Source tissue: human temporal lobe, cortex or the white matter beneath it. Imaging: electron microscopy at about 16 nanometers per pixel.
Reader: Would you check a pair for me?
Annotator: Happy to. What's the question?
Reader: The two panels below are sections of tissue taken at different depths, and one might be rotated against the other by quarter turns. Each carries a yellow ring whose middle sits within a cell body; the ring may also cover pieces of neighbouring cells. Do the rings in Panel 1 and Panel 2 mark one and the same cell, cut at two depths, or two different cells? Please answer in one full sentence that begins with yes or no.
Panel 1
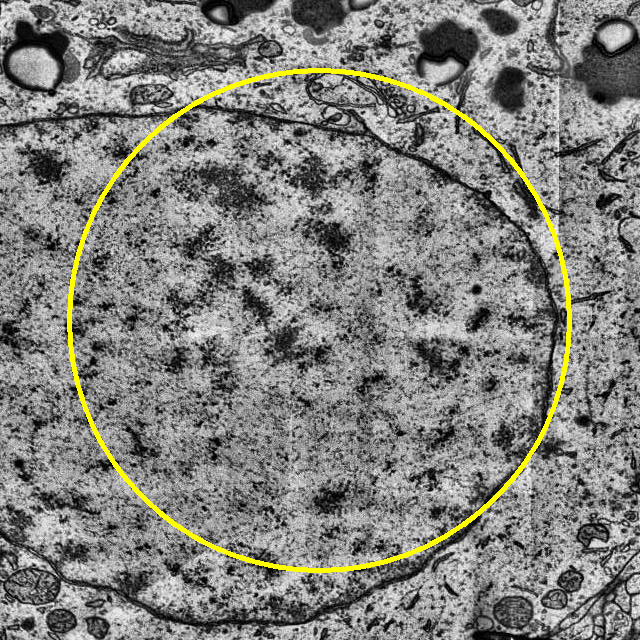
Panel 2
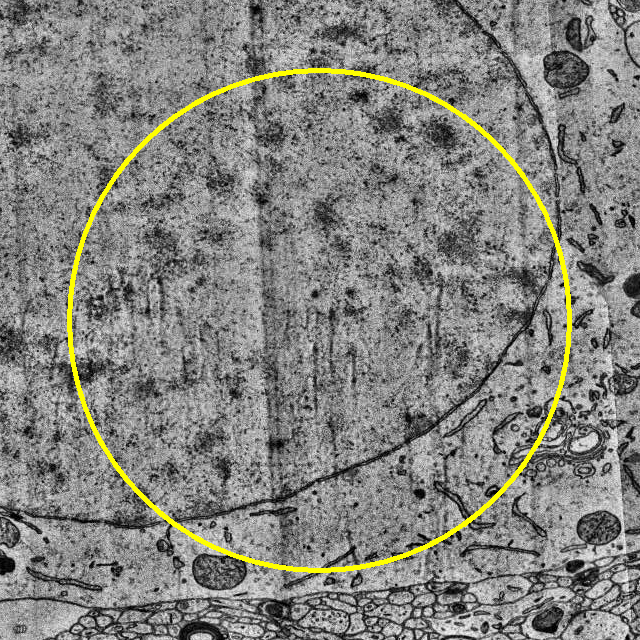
No, each ring in the micrograph marks a distinct cell.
